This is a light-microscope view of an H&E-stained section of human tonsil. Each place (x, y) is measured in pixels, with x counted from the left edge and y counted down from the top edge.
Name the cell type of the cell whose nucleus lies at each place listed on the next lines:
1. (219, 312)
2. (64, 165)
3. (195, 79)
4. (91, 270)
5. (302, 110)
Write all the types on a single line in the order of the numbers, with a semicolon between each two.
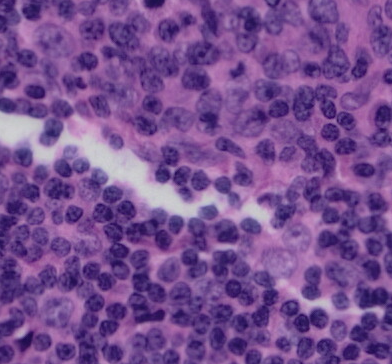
small lymphocyte; small lymphocyte; proliferating B cell; small lymphocyte; proliferating B cell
